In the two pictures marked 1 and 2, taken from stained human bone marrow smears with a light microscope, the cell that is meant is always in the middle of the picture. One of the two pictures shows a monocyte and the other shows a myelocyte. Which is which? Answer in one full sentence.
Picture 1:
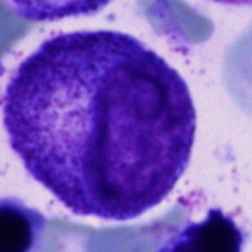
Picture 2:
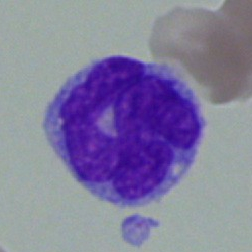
The cell in picture 1 is a myelocyte, and the one in picture 2 is a monocyte.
